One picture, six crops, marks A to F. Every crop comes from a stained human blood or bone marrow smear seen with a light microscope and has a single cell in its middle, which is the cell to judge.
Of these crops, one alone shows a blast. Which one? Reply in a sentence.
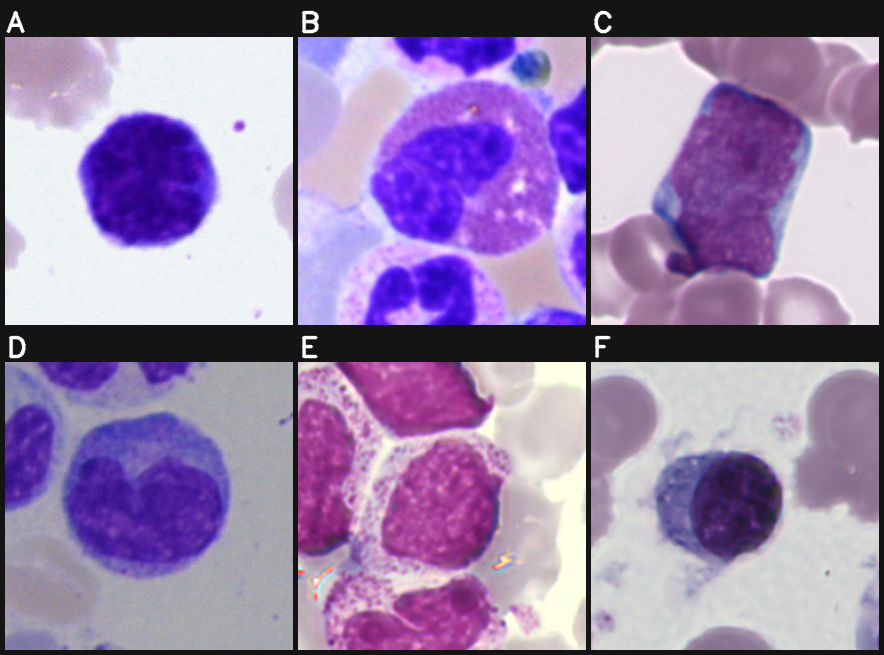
Crop C is the one in the set with a blast at the center.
